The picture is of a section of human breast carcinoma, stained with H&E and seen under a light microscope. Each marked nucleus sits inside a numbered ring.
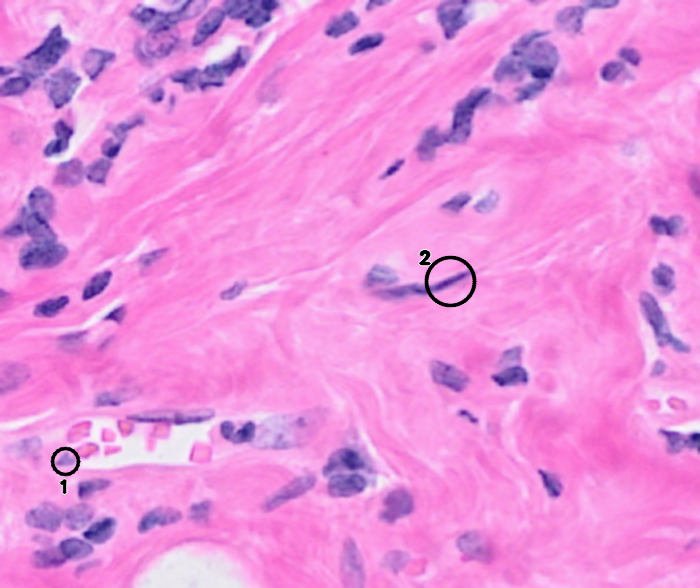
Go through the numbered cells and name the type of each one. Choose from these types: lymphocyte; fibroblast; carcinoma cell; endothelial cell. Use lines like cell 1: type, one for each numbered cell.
cell 1: endothelial cell
cell 2: fibroblast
